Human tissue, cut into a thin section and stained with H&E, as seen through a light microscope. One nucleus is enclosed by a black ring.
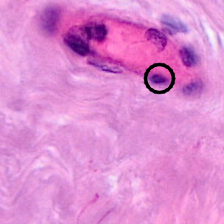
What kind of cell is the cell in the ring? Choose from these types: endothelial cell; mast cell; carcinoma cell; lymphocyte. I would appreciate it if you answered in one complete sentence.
It is as an endothelial cell that the cell in the ring is recorded.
